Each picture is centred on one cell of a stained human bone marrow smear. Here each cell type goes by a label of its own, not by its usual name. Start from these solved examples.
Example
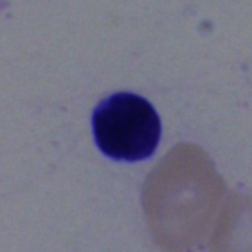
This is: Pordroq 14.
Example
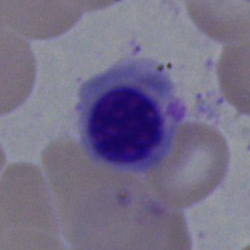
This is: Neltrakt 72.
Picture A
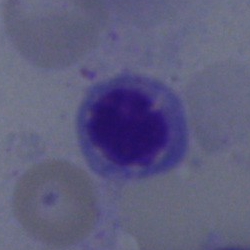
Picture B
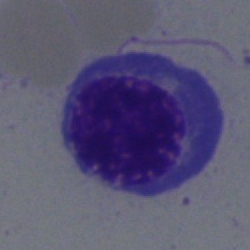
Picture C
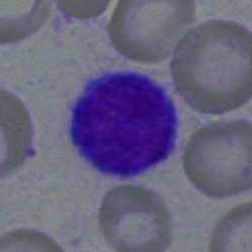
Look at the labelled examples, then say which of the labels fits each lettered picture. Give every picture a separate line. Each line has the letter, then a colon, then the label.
A: Neltrakt 72.
B: Neltrakt 72.
C: Pordroq 14.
